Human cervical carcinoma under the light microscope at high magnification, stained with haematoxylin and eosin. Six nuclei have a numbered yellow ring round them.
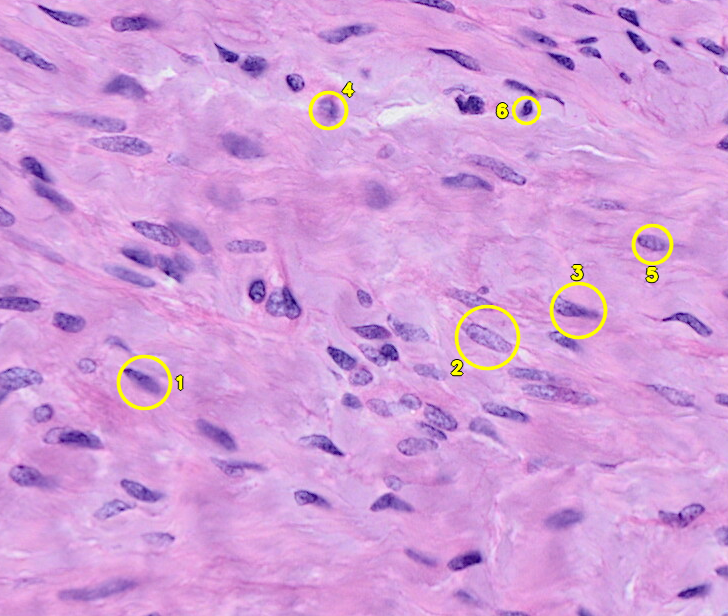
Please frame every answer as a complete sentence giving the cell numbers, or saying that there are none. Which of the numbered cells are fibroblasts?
Identification: the cells with numbers 1, 3, 5 and 6 are fibroblasts.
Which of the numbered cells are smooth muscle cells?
Of all the numbered cells, only cell 2 is a smooth muscle cell.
